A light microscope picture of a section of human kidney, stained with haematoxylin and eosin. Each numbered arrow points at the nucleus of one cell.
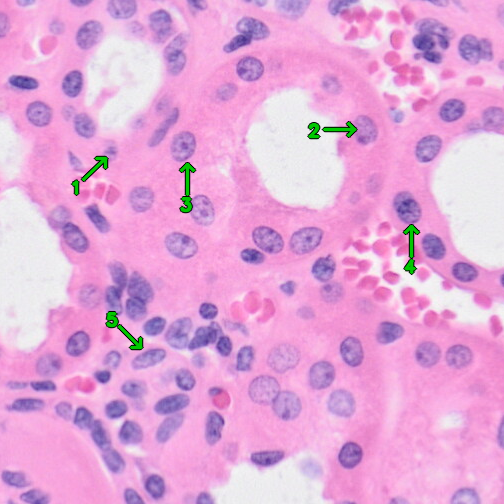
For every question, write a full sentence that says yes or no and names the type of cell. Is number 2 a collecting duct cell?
No, what number 2 shows is a proximal tubule cell, not a collecting duct cell.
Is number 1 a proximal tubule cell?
No, at number 1 sits a collecting duct cell, not a proximal tubule cell.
